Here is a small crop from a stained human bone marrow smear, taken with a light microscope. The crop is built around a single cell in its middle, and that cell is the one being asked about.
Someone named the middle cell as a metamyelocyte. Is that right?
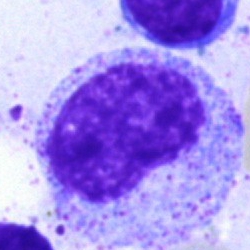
yes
